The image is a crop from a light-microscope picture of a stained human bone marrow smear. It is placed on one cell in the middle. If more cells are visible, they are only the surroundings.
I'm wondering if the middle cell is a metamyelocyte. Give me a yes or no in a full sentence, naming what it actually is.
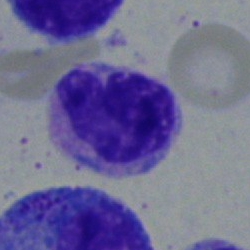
No, instead of a metamyelocyte, the centred cell represents a band neutrophil.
